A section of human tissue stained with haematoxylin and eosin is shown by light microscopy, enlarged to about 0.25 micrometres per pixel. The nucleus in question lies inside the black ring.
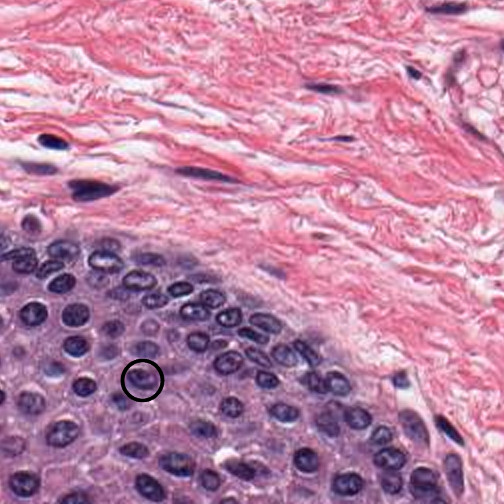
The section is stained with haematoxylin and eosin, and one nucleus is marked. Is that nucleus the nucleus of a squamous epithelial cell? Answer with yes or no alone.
yes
